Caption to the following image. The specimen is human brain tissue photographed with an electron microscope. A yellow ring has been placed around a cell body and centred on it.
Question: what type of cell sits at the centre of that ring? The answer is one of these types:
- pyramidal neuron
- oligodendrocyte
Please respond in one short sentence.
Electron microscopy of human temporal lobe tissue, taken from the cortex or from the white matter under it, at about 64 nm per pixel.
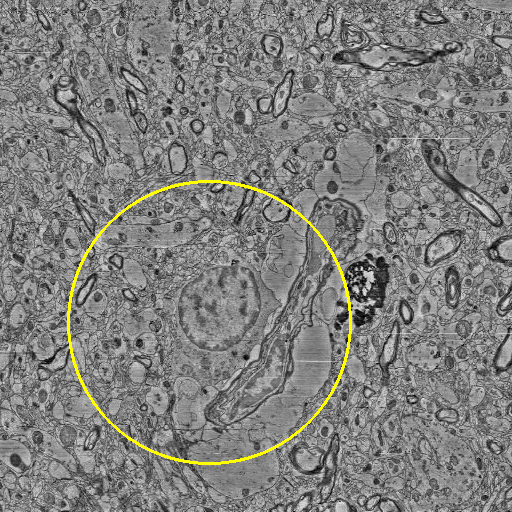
The ring surrounds the cell body of an oligodendrocyte.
